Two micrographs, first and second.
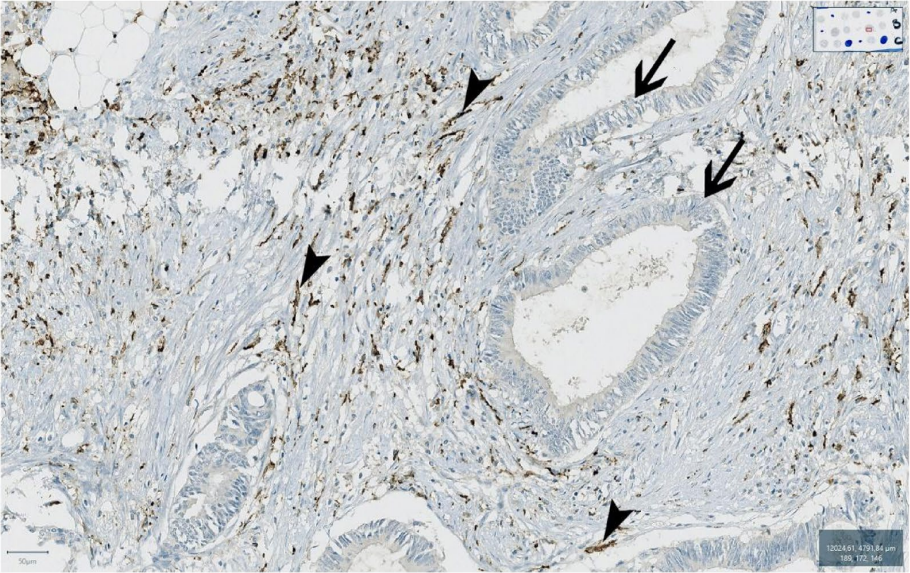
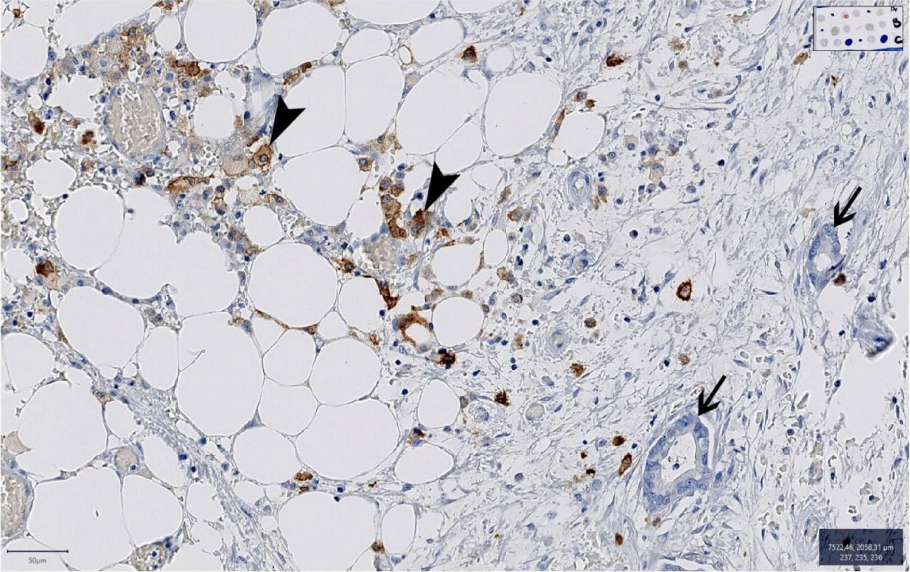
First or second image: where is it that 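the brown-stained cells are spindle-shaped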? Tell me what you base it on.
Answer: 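The first image. First image: brown cells are thin and elongated, aligned in the stroma. Second image: brown cells are plump and rounded.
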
